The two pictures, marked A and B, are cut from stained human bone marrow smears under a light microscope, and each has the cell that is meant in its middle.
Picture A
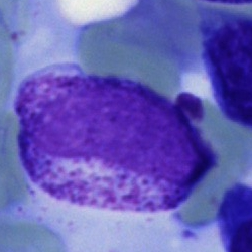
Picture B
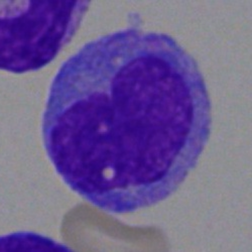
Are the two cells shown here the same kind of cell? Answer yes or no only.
no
